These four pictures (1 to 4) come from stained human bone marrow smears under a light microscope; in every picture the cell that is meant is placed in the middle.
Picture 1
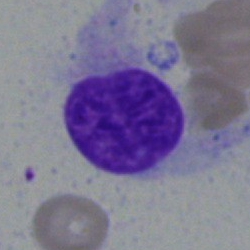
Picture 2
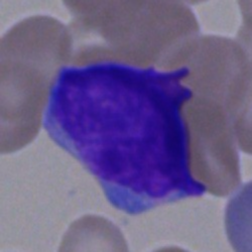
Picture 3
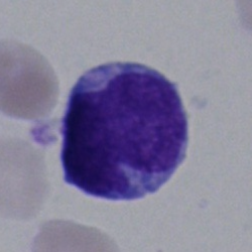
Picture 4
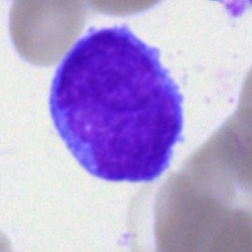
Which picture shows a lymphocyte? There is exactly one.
1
